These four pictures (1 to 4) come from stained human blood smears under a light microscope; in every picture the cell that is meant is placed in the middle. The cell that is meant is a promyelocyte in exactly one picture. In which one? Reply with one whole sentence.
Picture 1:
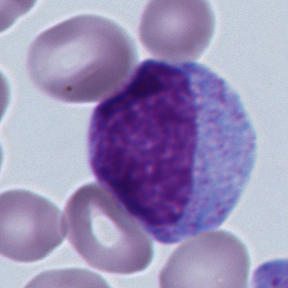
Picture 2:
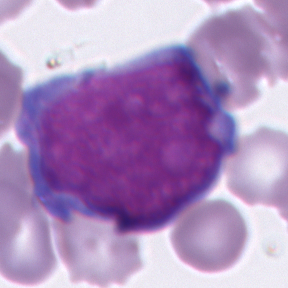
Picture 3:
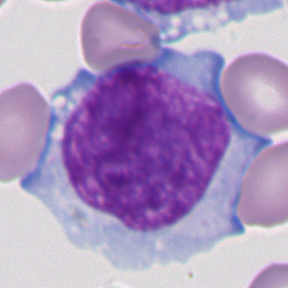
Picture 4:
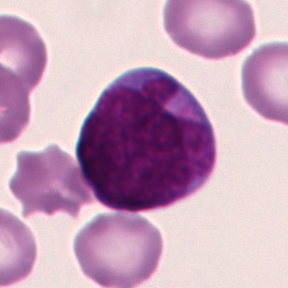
The picture with the promyelocyte is 1.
